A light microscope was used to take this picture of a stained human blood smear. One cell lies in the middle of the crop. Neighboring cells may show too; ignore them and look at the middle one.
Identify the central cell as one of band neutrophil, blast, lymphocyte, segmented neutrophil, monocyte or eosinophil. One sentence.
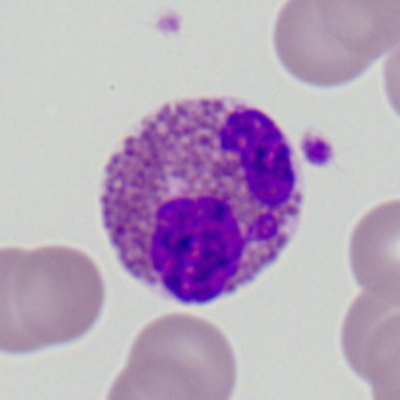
The central cell, amid any neighbouring cells, is an eosinophil.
